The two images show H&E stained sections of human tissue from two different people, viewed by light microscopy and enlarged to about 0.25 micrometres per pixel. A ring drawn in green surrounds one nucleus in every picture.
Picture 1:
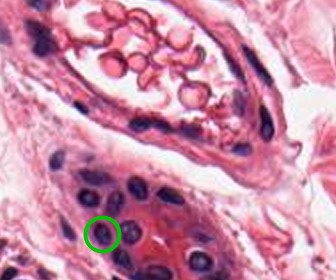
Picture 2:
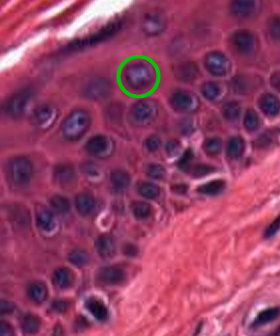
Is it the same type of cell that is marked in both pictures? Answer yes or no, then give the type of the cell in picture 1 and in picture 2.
No, the first is a sweat gland cell and the second a keratinocyte.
